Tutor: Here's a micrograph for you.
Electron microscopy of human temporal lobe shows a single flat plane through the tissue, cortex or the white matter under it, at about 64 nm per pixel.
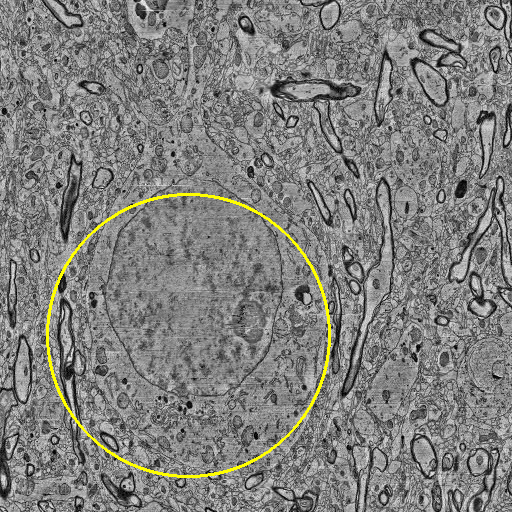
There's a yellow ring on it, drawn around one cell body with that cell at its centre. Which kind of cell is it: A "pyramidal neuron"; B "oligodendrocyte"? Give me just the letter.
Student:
A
